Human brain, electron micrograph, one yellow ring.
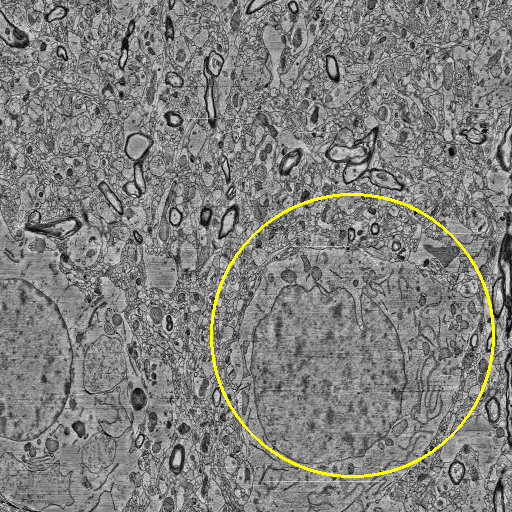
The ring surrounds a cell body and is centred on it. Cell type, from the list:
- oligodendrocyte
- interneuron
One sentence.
The yellow ring circles an interneuron.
